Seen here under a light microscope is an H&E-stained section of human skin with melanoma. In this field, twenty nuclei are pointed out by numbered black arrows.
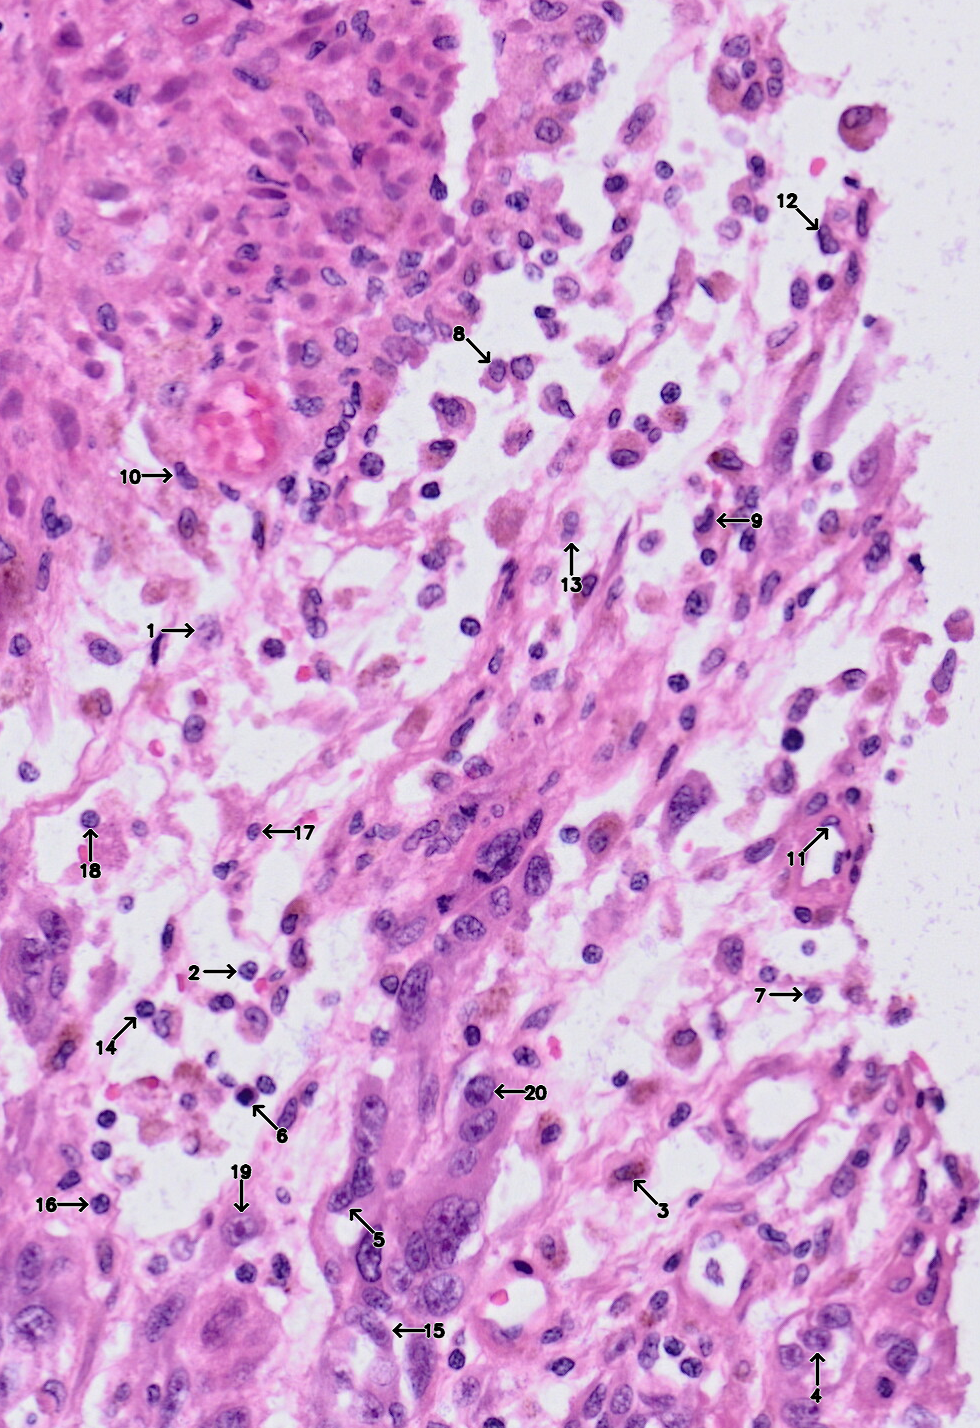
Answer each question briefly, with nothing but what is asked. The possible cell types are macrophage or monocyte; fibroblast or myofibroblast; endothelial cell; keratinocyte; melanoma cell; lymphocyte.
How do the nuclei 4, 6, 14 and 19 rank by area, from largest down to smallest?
19, 4, 14, 6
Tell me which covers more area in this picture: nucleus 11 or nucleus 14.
14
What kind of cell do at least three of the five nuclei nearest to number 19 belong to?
lymphocyte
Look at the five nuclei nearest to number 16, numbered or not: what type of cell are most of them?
macrophage or monocyte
